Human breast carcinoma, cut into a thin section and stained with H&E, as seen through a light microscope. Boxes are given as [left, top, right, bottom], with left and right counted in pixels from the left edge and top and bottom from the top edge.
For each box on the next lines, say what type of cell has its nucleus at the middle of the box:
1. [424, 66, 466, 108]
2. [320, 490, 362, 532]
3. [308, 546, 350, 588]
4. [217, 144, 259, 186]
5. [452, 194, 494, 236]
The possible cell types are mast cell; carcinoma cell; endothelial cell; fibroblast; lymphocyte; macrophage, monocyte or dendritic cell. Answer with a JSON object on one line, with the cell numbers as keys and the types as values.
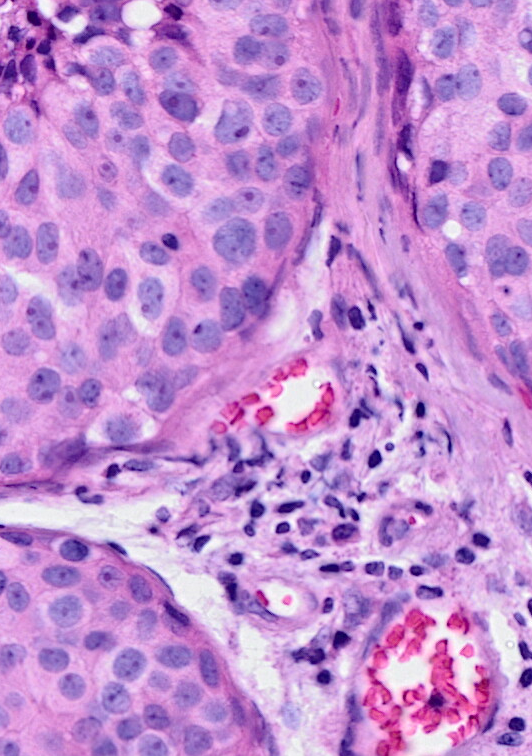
{"1": "carcinoma cell", "2": "lymphocyte", "3": "lymphocyte", "4": "carcinoma cell", "5": "carcinoma cell"}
